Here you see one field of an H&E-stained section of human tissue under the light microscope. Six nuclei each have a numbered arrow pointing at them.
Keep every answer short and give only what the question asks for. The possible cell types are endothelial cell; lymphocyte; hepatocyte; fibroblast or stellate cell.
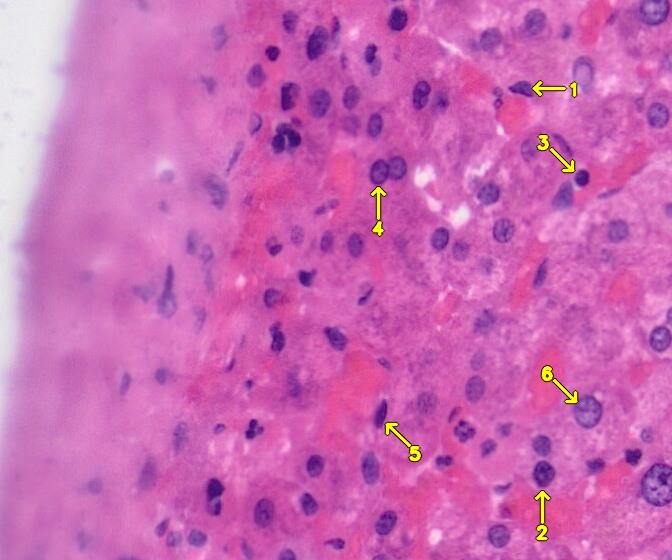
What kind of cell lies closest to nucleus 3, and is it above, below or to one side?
an endothelial cell; below and to the left of nucleus 3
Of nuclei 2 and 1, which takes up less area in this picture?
1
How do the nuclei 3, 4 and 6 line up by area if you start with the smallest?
3, 4, 6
